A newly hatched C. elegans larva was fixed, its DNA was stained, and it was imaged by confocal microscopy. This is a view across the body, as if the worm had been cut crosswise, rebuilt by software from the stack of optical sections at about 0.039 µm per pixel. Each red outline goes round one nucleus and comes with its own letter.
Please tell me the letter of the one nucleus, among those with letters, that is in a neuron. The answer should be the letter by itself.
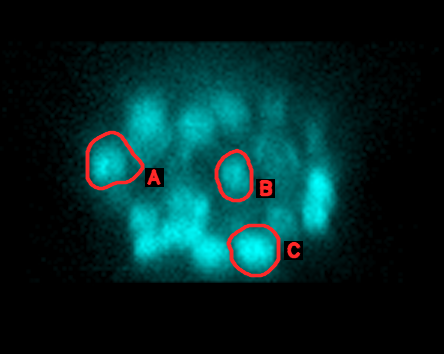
C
